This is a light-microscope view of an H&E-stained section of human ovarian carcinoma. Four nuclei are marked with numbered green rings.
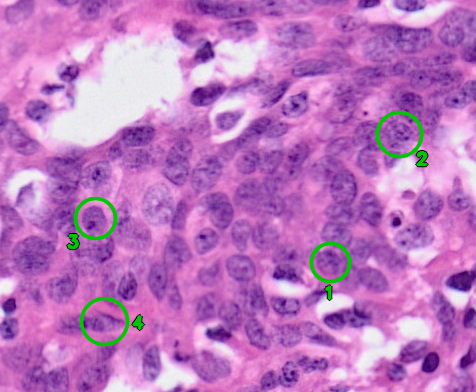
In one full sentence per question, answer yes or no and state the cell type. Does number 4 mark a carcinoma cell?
No, number 4 corresponds to an endothelial cell, not a carcinoma cell.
